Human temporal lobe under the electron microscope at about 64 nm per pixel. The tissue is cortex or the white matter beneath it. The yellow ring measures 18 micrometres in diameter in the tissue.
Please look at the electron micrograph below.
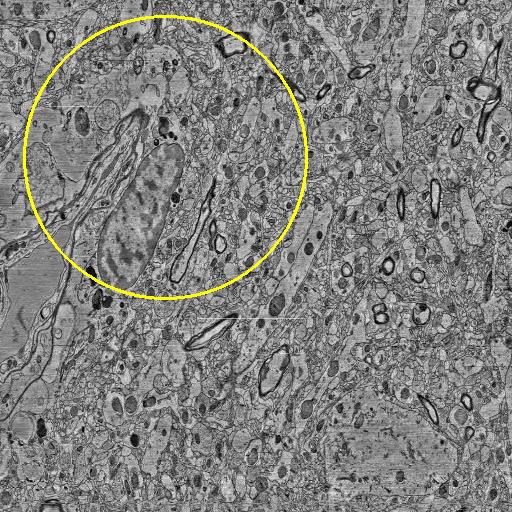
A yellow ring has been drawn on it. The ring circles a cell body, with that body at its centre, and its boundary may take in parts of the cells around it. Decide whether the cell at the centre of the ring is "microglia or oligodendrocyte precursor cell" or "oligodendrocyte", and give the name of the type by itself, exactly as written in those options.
microglia or oligodendrocyte precursor cell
